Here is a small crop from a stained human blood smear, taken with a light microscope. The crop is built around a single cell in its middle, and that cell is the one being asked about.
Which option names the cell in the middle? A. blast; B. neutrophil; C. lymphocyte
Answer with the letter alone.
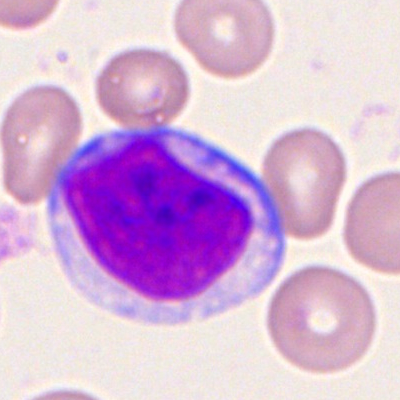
A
